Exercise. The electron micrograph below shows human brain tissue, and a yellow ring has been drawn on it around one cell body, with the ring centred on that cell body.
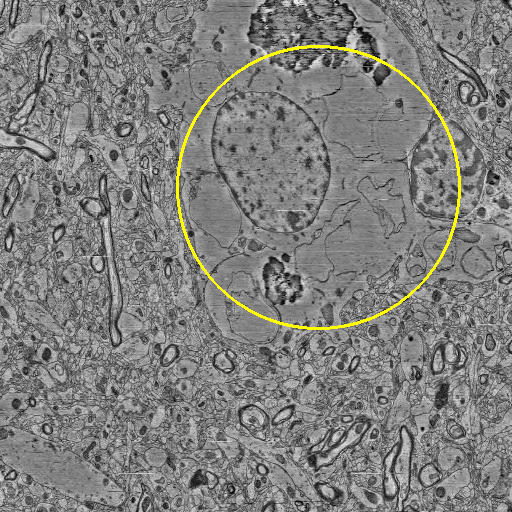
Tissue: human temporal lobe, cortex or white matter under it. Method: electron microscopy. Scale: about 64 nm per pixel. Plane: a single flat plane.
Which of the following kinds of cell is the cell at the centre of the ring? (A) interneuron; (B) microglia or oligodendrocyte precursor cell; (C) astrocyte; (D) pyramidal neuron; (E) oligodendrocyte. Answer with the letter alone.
C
